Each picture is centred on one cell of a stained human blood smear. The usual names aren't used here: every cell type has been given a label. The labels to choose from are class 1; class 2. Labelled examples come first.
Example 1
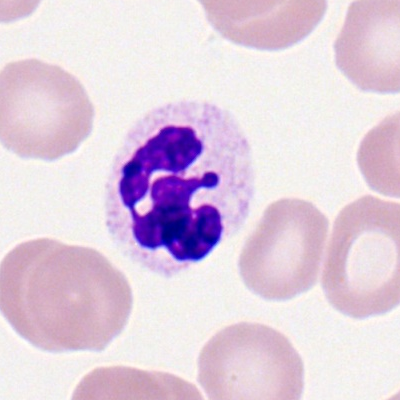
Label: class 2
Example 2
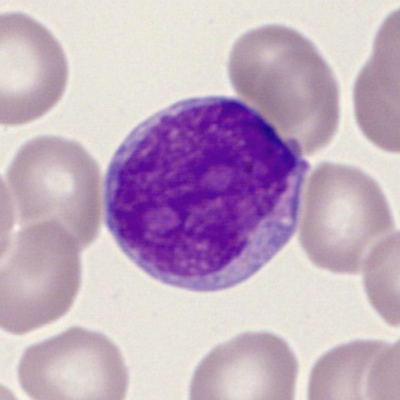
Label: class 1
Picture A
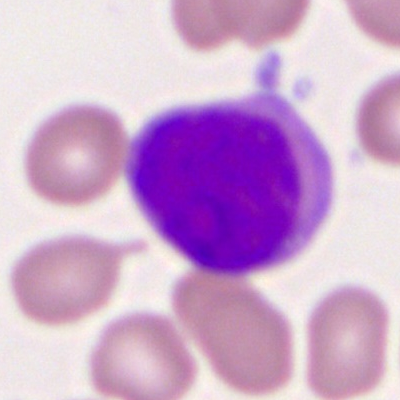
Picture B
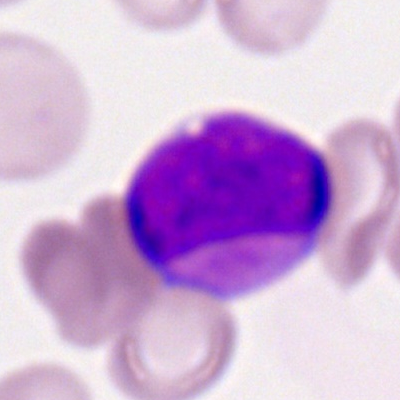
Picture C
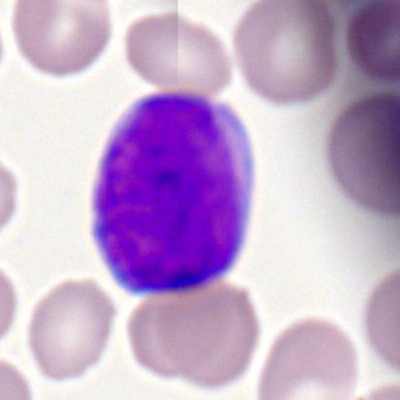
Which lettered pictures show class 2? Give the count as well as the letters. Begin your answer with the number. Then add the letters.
0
